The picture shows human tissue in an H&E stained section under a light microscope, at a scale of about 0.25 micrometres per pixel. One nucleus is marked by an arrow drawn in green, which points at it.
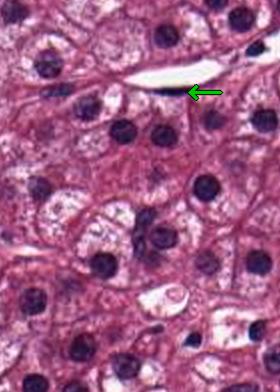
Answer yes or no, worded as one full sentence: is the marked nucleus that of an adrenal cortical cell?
No, the marked nucleus is attributed to a supporting cell, not to an adrenal cortical cell.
